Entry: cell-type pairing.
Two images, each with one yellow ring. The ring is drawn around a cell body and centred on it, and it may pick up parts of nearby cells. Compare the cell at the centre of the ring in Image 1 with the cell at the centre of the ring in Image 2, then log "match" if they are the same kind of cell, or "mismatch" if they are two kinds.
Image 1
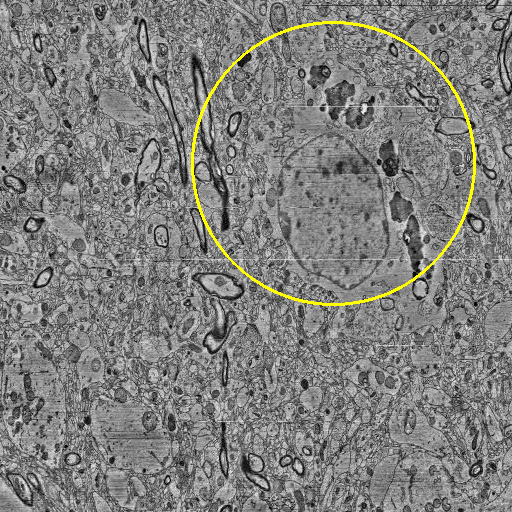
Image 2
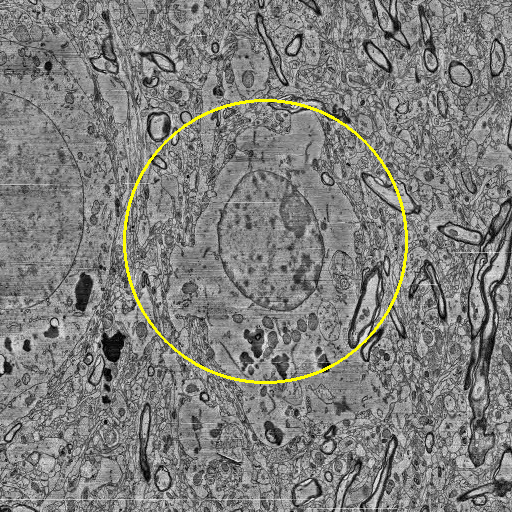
match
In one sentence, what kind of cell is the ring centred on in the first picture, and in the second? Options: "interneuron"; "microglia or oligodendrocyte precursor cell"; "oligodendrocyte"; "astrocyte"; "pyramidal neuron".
The cell at the ring centre is an astrocyte in both pictures.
